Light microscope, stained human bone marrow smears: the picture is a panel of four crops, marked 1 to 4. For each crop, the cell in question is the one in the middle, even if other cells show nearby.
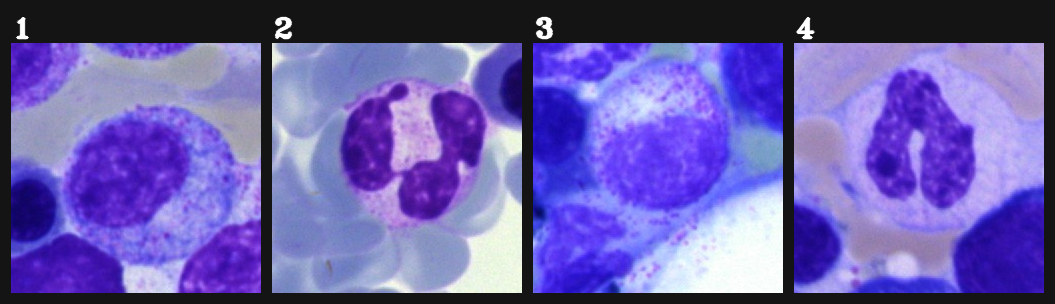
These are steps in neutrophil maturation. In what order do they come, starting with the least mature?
1, 3, 4, 2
